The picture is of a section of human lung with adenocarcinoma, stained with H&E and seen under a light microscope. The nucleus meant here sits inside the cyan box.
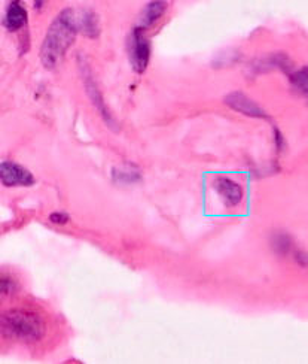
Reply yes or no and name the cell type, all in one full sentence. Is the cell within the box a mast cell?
Yes, the cell within the box is, by its type, a mast cell.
